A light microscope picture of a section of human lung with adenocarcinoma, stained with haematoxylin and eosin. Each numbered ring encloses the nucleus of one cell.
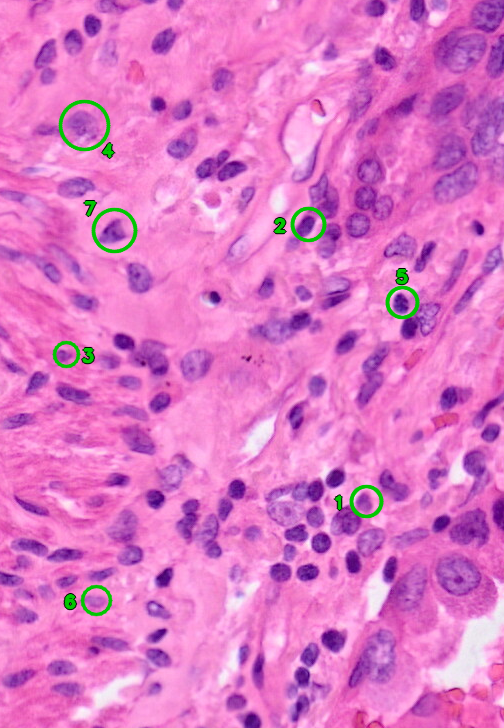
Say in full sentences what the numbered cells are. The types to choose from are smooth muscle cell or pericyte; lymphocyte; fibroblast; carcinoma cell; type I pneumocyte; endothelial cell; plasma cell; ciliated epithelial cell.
Cell 1 is a lymphocyte, cell 2 is a lymphocyte, cell 3 is a smooth muscle cell or pericyte, cell 4 is a fibroblast, cell 5 is a lymphocyte, cell 6 is a smooth muscle cell or pericyte and cell 7 is a fibroblast.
